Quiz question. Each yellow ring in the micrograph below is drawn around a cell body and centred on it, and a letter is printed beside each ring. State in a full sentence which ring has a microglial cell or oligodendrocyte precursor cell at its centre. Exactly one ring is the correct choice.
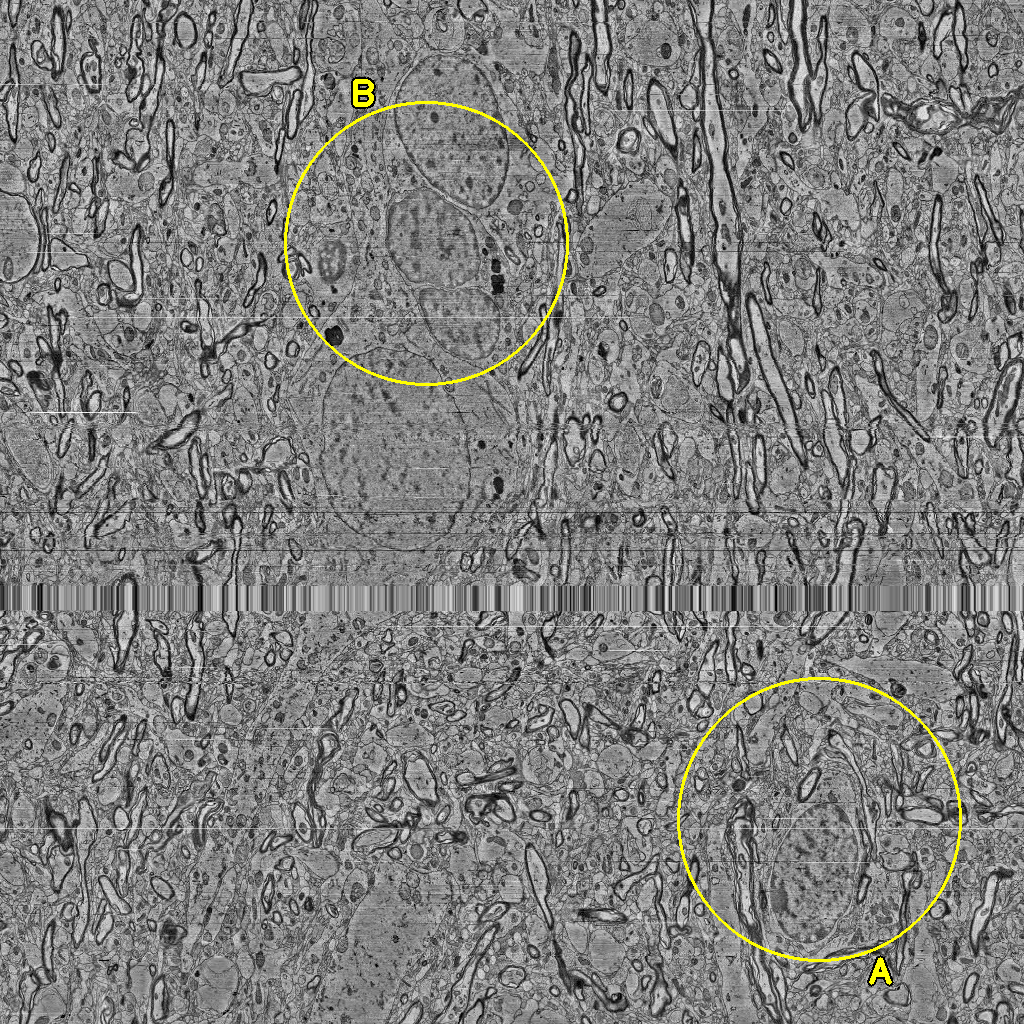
The correct ring is ring A.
